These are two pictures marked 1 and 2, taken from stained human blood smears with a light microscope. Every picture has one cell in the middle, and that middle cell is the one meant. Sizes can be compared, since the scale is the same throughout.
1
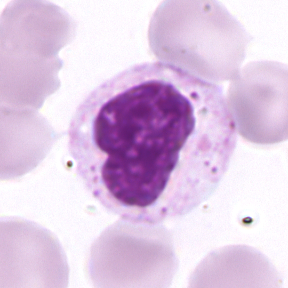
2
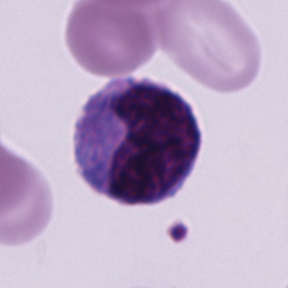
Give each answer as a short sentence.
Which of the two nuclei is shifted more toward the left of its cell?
Seen within its cell, the nucleus in picture 1 lies further toward the left.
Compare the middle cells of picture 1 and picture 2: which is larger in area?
The cell in picture 1 is larger, with about 1.5 times the area of the one in picture 2.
